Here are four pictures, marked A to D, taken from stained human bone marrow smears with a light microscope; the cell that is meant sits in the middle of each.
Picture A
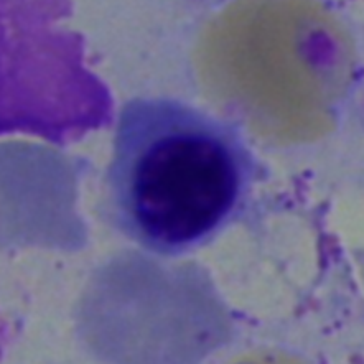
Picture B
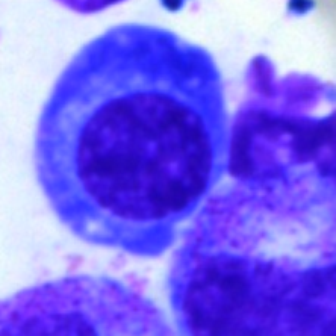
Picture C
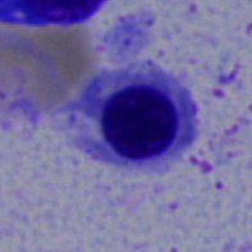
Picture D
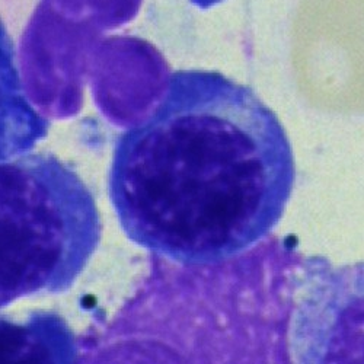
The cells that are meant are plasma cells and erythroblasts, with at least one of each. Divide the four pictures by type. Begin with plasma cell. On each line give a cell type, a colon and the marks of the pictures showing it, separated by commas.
plasma cell: B
erythroblast: A, C, D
